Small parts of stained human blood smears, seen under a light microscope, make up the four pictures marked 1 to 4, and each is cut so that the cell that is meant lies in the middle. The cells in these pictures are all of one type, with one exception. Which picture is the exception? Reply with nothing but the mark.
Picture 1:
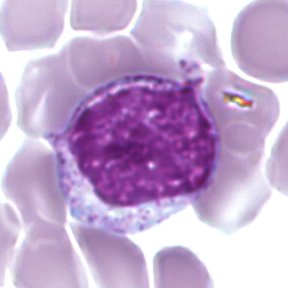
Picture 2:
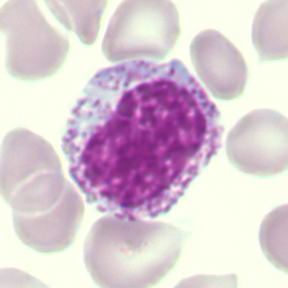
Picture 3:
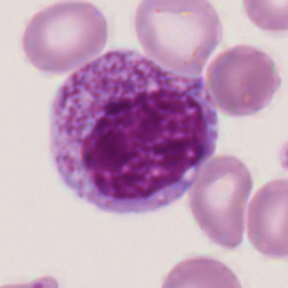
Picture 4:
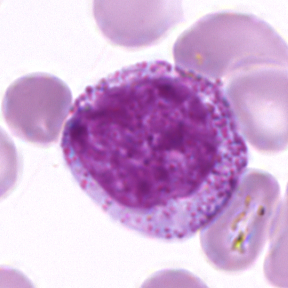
2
